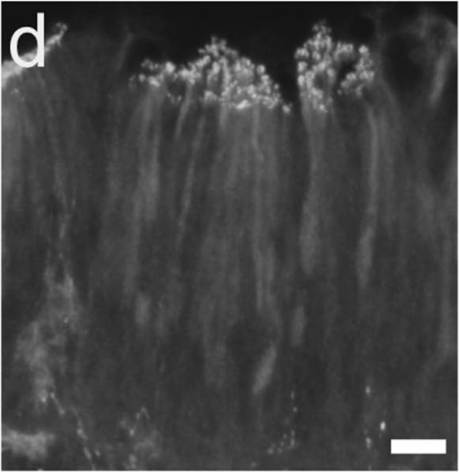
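Many small bright rounded profiles crowd along the surface in two or more groups. Beneath them, long thin faintly labeled streaks run vertically down through the thickness of the epithelium, giving it a striped look.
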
